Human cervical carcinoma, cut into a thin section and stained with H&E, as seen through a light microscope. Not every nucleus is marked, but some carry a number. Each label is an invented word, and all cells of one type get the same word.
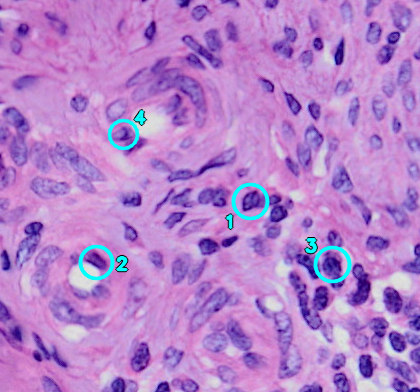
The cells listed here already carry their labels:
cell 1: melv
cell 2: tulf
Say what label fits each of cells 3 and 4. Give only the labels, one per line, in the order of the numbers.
melv
tulf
